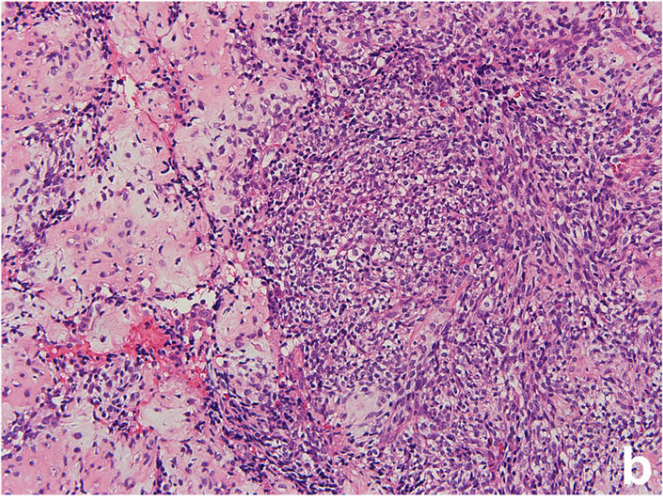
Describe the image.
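This tumor tissue pairs a densely cellular area on the right with pale pink, glassy chondroid matrix on the left. On the right, closely packed cells with ovoid to round dark purple nuclei and scant, barely visible cytoplasm run in loosely aligned streams. In the pink matrix on the left, the cells are fewer, more widely spaced and rounder.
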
